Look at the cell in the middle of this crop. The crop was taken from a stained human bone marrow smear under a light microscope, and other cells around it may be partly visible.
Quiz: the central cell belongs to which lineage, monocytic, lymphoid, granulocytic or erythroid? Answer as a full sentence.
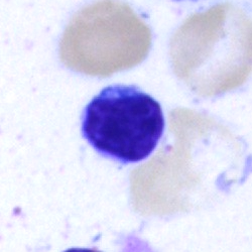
Classified by lineage, the middle cell is lymphoid.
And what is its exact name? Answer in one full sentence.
Located at the centre of the crop is a lymphocyte.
